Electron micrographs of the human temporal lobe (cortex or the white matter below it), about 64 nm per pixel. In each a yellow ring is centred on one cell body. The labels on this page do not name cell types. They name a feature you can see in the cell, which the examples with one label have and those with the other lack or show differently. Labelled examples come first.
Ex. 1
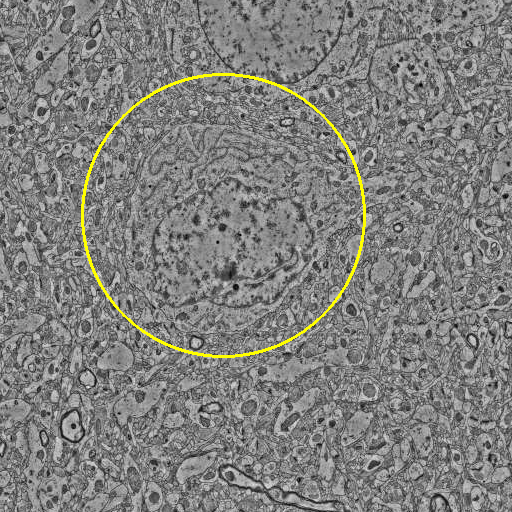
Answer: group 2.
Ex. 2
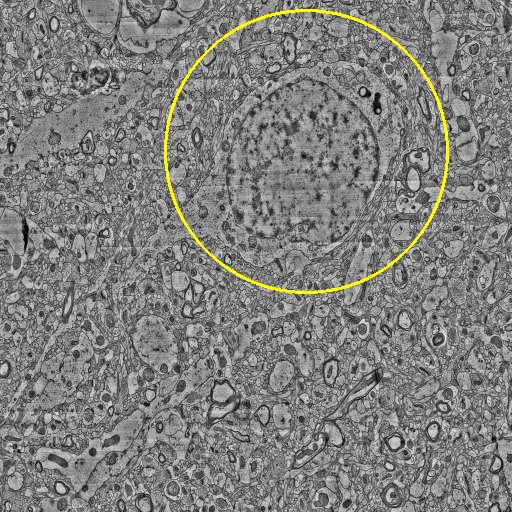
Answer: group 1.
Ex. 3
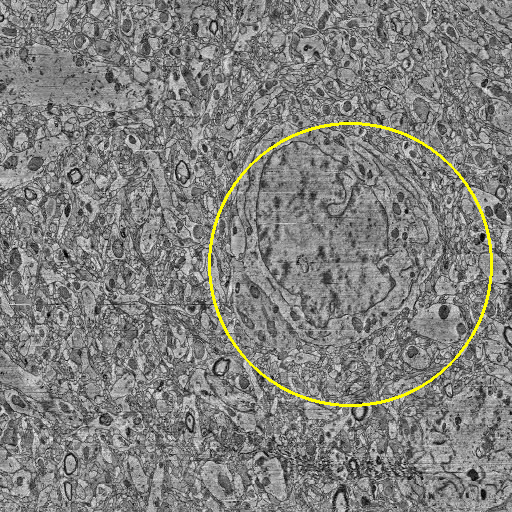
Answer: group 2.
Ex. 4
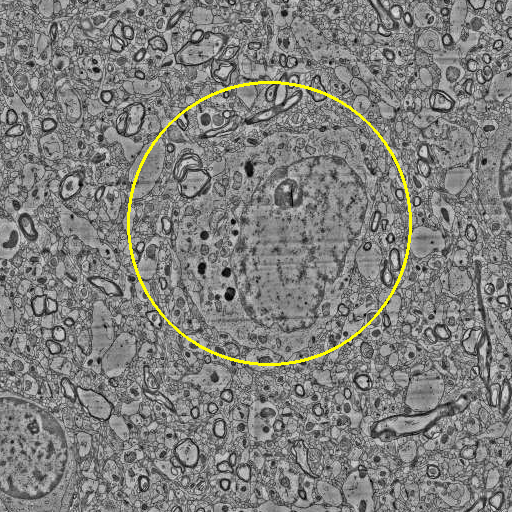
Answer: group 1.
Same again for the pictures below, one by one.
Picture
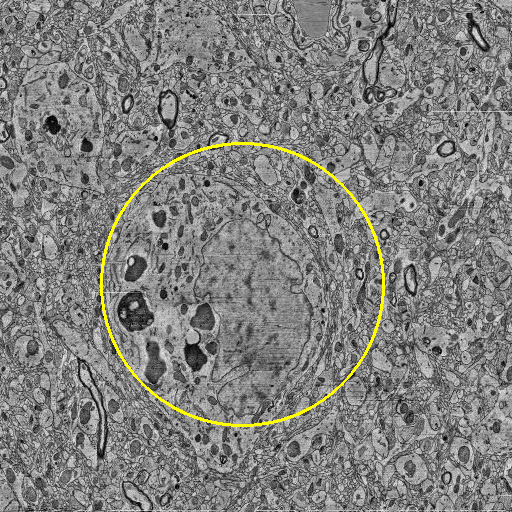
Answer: group 2.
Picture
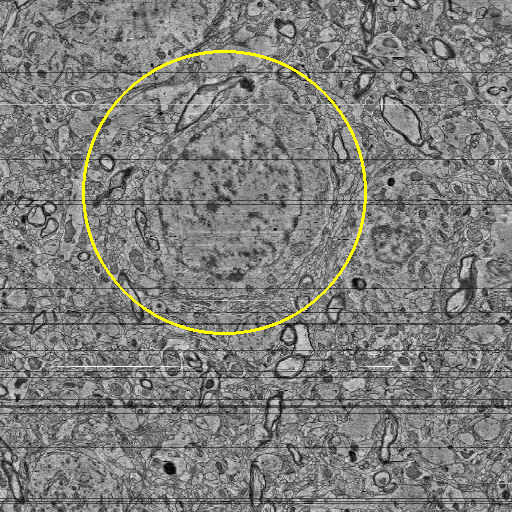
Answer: group 1.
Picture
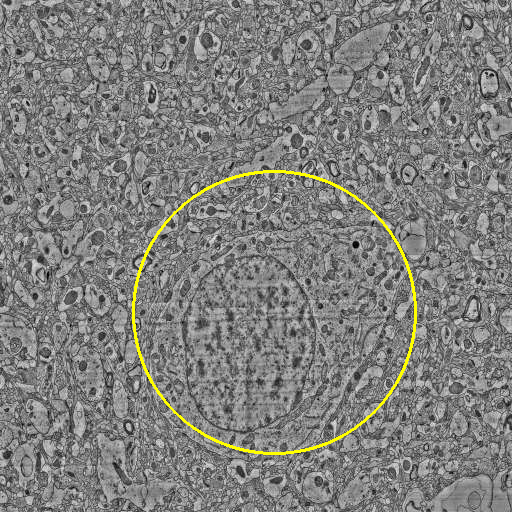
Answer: group 1.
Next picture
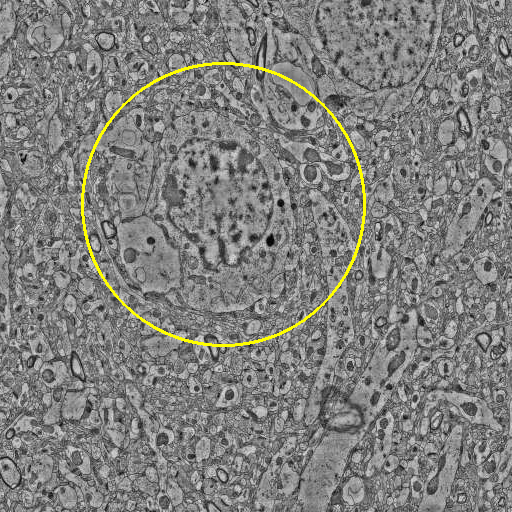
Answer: group 2.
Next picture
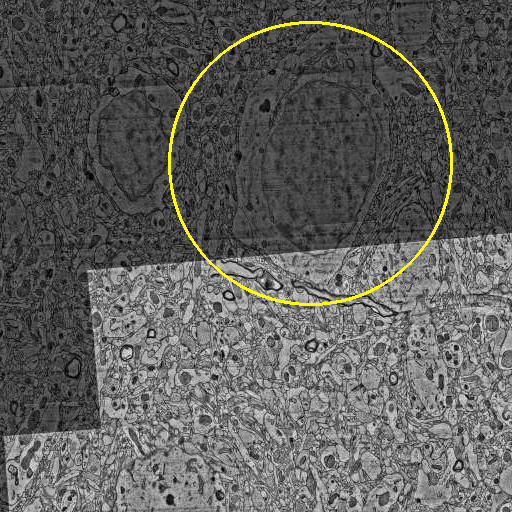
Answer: group 1.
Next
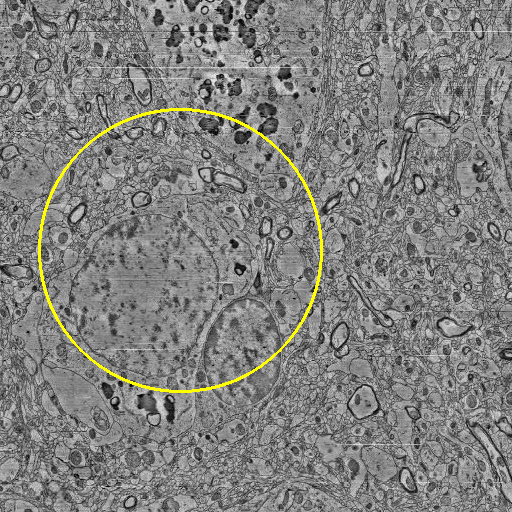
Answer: group 1.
